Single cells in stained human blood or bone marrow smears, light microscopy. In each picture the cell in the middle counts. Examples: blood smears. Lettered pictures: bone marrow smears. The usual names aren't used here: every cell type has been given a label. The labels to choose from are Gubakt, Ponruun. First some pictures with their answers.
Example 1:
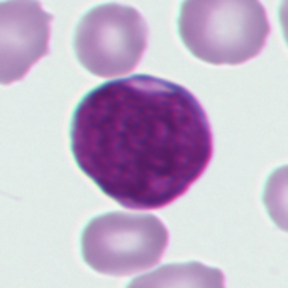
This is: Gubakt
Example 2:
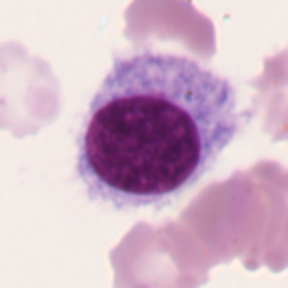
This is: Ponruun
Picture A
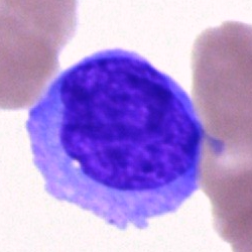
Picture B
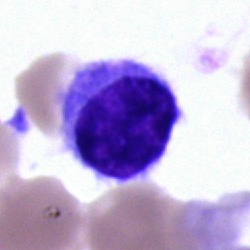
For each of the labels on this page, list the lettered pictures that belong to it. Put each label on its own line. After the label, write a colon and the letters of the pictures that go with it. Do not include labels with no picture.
Gubakt: A
Ponruun: B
